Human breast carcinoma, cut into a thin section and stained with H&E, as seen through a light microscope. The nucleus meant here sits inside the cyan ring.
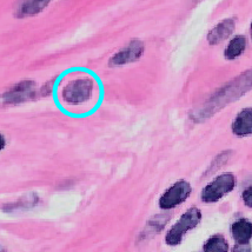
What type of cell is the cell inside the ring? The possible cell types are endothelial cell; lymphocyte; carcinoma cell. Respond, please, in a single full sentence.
In this field of tissue, the cell inside the ring is a lymphocyte.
